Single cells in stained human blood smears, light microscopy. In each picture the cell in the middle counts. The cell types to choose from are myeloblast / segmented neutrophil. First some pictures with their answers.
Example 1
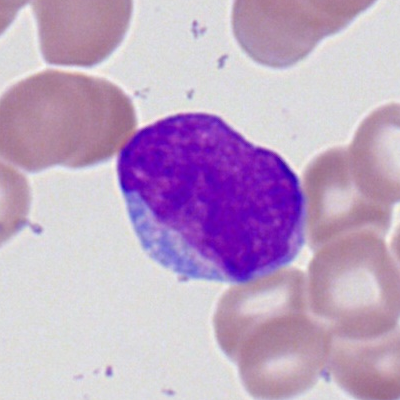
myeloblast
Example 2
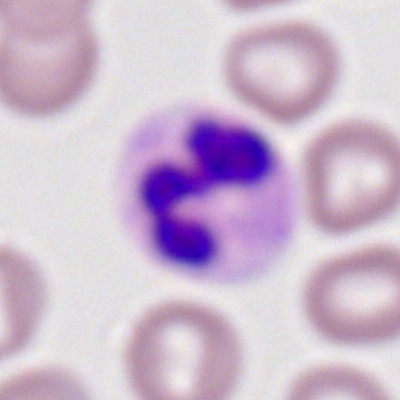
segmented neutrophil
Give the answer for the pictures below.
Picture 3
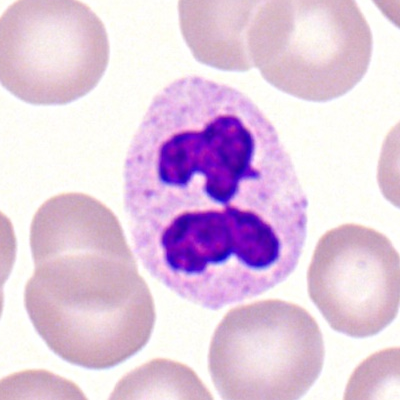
segmented neutrophil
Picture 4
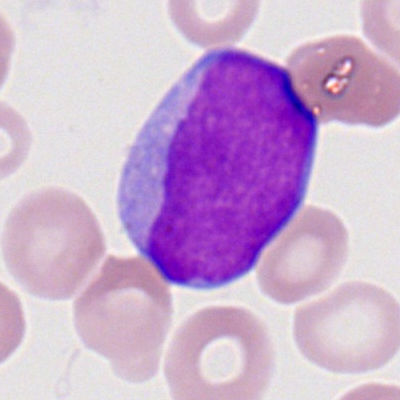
myeloblast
